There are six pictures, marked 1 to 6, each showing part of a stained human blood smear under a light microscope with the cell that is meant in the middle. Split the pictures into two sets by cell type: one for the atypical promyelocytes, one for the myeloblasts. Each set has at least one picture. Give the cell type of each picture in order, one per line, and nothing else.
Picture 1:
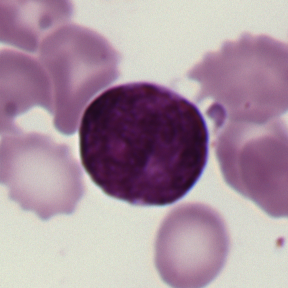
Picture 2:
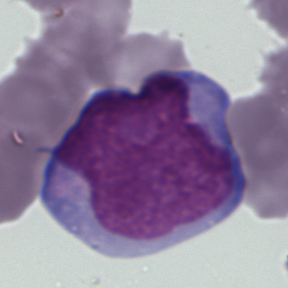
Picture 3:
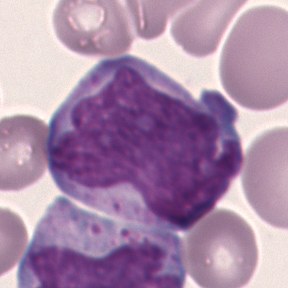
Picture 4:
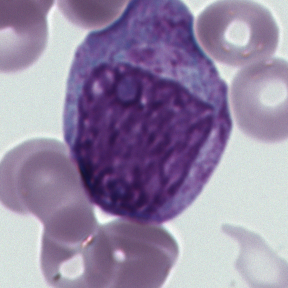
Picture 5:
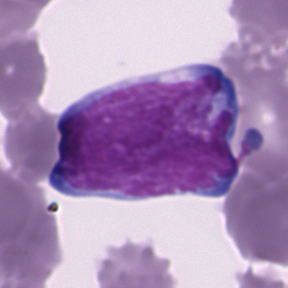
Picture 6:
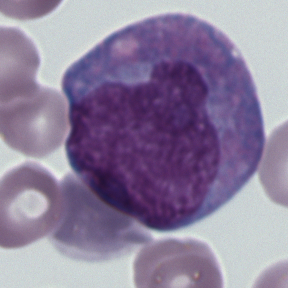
myeloblast
myeloblast
atypical promyelocyte
atypical promyelocyte
myeloblast
atypical promyelocyte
